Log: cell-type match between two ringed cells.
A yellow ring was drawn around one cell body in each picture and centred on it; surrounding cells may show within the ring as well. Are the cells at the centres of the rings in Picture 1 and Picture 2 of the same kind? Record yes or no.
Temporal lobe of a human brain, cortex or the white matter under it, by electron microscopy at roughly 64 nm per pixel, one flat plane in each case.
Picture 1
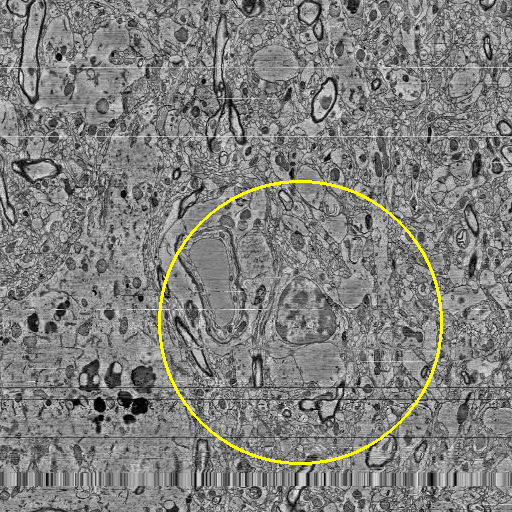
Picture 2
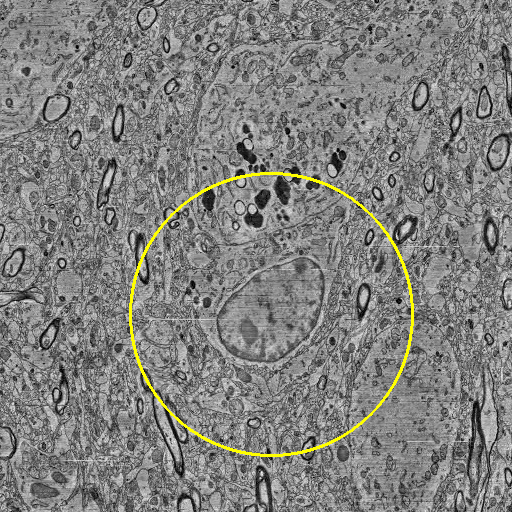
yes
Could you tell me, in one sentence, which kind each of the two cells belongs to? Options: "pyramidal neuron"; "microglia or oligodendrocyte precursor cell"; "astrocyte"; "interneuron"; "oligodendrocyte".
In each picture the ringed cell is a microglial cell or oligodendrocyte precursor cell.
